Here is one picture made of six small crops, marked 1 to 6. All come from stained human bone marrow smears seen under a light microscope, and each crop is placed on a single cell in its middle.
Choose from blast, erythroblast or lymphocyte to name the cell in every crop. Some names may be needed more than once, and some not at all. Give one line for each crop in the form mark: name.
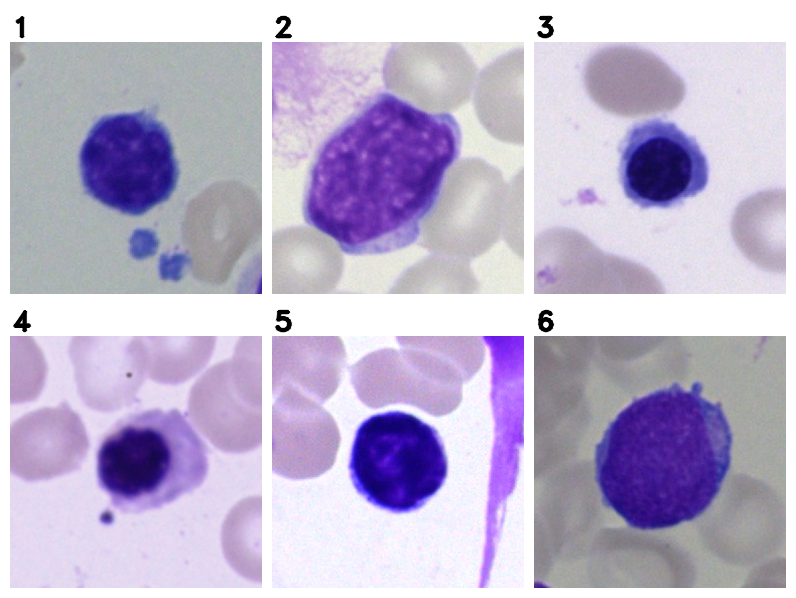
1: lymphocyte
2: blast
3: erythroblast
4: erythroblast
5: lymphocyte
6: blast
